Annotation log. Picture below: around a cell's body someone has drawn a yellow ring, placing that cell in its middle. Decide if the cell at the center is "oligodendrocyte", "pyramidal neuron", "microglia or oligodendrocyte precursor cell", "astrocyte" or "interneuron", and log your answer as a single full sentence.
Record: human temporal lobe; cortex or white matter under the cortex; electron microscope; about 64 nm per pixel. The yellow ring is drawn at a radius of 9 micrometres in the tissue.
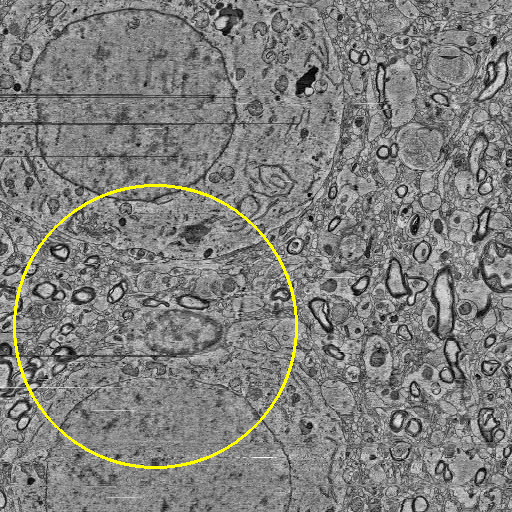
My entry records an oligodendrocyte as the cell sitting at the center of the yellow ring.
